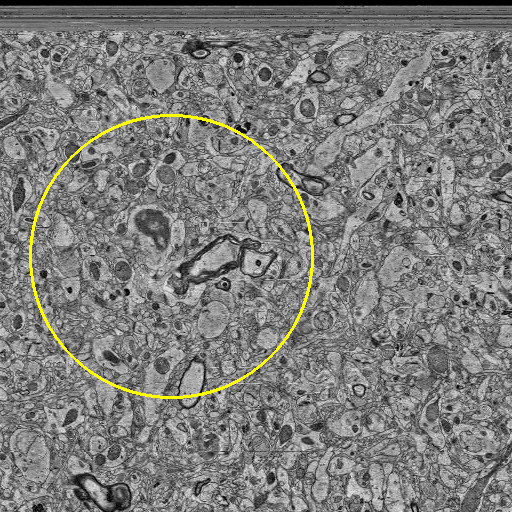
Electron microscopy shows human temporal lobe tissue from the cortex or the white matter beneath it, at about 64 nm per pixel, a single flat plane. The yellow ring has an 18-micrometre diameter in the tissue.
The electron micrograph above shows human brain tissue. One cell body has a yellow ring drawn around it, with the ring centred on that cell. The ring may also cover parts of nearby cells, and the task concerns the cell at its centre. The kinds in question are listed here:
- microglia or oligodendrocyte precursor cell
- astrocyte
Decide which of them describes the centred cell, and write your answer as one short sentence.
The centred cell is a microglial cell or oligodendrocyte precursor cell.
